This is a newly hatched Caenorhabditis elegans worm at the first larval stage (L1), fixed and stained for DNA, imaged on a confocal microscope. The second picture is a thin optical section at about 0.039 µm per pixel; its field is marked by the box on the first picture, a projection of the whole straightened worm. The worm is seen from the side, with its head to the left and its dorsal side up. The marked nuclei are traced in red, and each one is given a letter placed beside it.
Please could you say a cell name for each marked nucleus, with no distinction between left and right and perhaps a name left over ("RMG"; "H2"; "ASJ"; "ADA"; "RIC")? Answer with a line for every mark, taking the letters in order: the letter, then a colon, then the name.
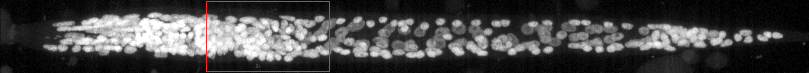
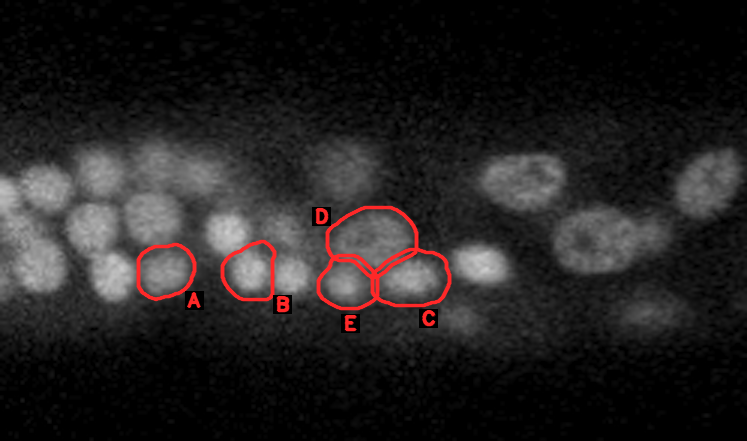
A: ASJ
B: RIC
C: RMG
D: H2
E: ADA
